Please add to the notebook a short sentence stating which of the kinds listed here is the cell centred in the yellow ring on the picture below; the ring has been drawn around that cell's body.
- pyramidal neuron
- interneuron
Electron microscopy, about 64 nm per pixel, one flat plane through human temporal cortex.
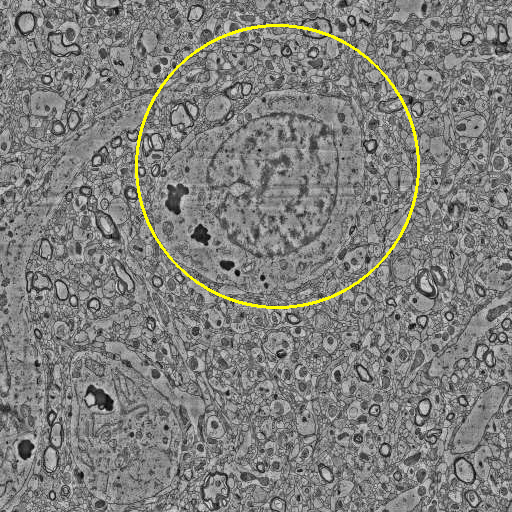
The cell centred in the yellow ring is an interneuron.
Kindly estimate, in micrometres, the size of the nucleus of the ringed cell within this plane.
The nucleus appears about 9 micrometres across in this plane.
